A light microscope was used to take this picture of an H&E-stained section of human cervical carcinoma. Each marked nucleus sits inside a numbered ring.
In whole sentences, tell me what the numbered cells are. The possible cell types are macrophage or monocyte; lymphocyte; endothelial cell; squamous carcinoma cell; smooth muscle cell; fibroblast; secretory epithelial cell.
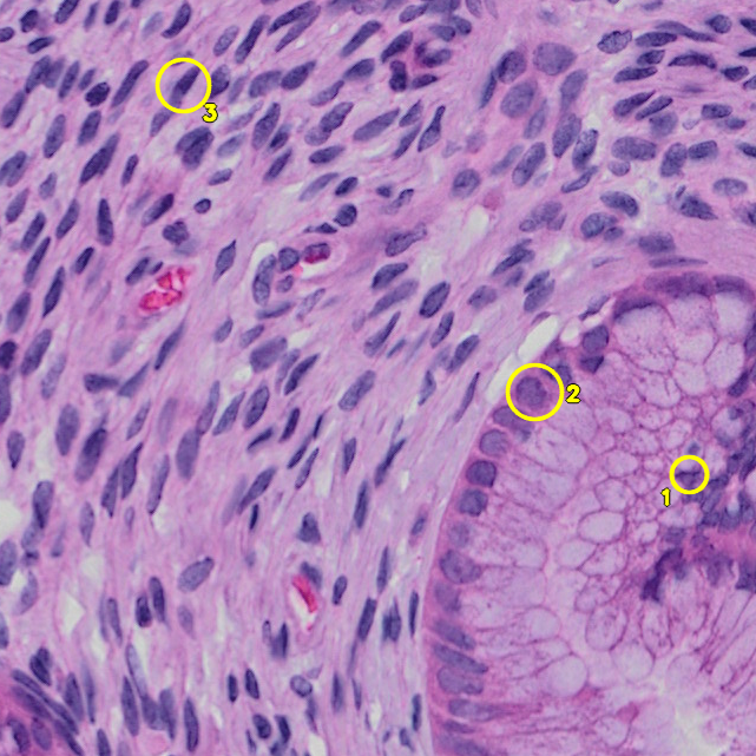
Cells 1 and 2 are secretory epithelial cells. Cell 3 is a fibroblast.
